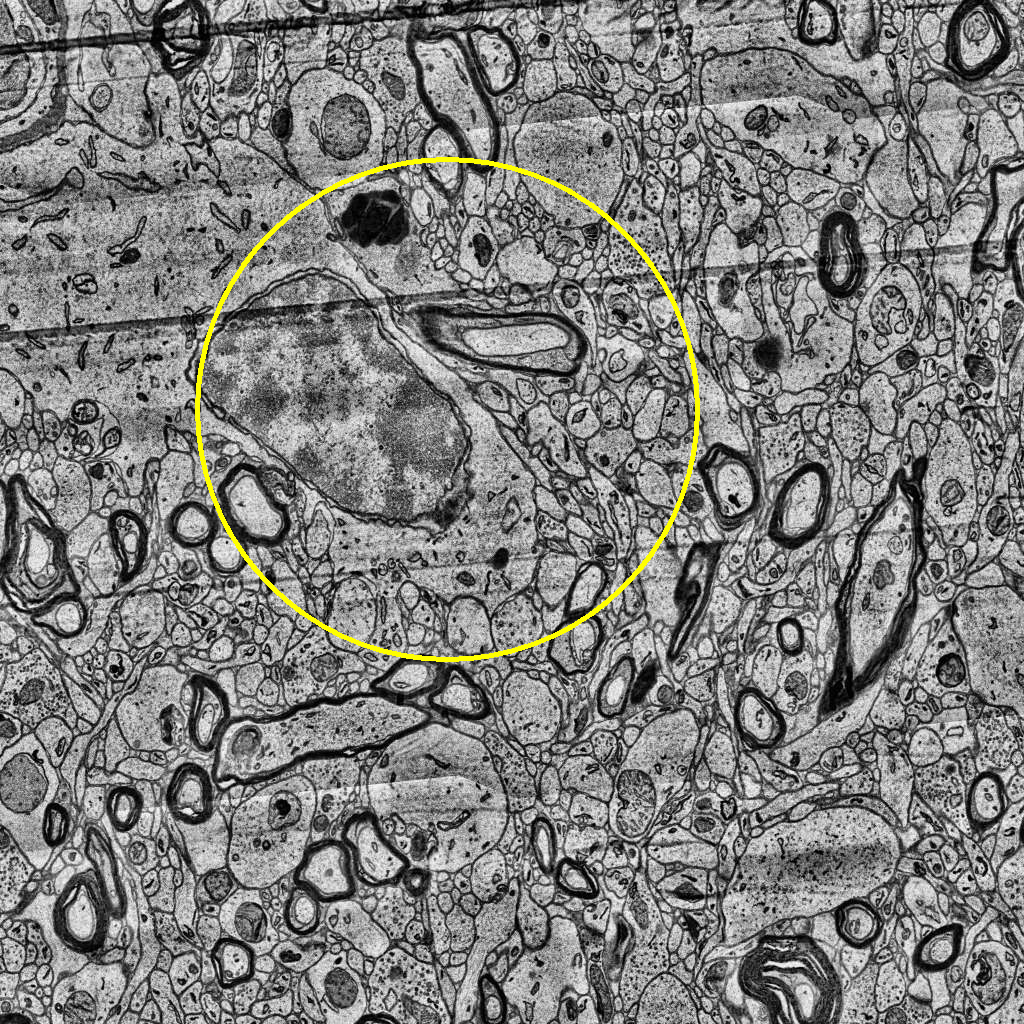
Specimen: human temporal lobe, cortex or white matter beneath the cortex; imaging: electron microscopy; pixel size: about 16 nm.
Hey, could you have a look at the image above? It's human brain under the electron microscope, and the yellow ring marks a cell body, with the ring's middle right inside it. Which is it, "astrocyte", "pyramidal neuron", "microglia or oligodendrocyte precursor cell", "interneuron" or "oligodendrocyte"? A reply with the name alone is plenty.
microglia or oligodendrocyte precursor cell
